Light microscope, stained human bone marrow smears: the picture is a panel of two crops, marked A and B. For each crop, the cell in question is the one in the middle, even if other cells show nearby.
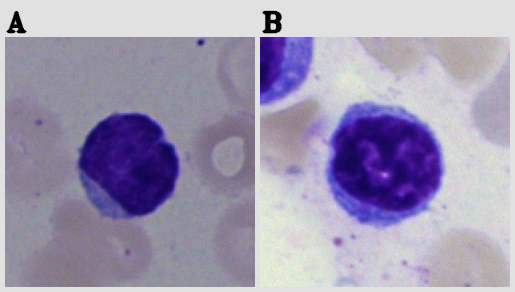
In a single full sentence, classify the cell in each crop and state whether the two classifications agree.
Yes, the centred cells are lymphocytes in both crops.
